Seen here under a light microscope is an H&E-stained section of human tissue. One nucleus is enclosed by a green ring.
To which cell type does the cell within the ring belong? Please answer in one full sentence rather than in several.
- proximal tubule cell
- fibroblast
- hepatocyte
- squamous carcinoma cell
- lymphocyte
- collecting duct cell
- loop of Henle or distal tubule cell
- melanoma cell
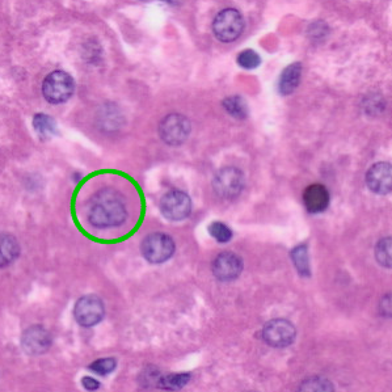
Students should answer that the cell within the ring is a hepatocyte.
